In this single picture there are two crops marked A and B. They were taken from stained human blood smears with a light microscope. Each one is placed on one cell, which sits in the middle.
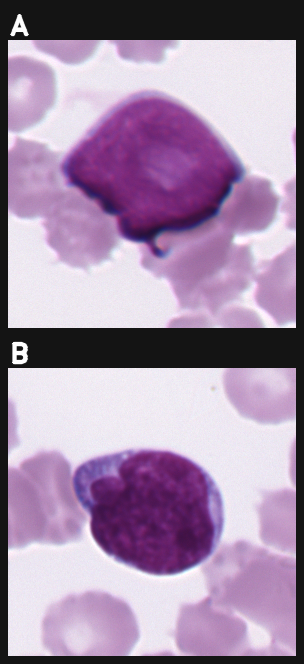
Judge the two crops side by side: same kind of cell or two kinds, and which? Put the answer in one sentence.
Yes, both crops alike show myeloblasts at the centre.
